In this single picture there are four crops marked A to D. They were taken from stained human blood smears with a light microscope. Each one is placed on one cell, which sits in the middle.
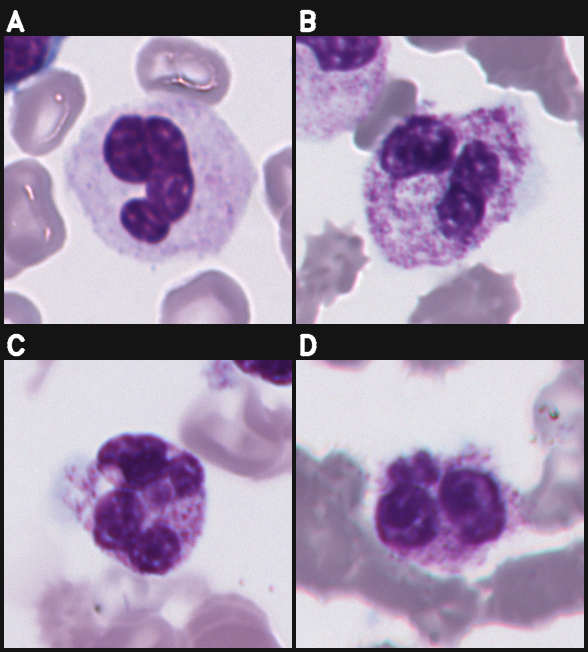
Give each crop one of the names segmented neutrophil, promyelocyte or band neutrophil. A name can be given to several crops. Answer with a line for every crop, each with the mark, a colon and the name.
A: segmented neutrophil
B: segmented neutrophil
C: segmented neutrophil
D: segmented neutrophil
